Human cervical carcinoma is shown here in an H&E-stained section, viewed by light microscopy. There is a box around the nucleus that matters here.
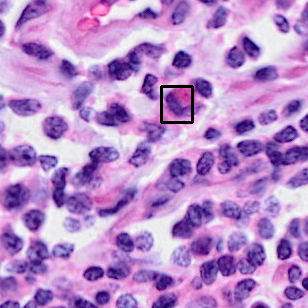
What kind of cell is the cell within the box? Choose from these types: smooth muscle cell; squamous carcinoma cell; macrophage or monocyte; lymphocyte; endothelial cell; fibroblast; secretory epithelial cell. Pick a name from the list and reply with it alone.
lymphocyte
